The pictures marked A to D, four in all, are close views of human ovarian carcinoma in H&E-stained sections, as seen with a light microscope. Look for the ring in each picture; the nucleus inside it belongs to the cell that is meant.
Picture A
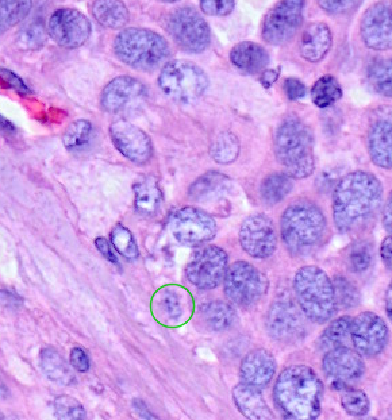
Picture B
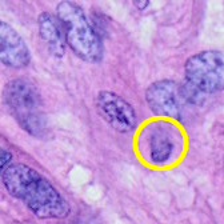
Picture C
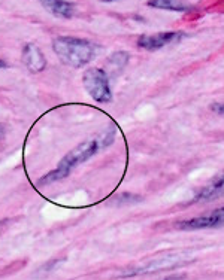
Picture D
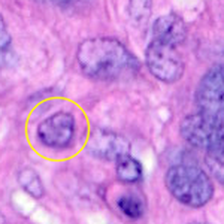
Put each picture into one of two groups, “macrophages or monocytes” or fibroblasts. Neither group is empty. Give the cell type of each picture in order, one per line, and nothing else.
macrophage or monocyte
macrophage or monocyte
fibroblast
macrophage or monocyte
